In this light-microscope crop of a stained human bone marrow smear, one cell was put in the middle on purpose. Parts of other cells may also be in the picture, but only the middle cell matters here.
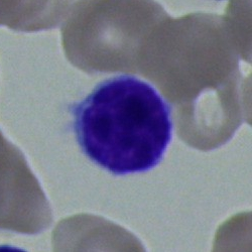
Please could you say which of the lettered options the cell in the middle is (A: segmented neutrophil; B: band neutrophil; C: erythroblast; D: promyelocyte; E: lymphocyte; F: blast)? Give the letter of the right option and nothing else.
E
